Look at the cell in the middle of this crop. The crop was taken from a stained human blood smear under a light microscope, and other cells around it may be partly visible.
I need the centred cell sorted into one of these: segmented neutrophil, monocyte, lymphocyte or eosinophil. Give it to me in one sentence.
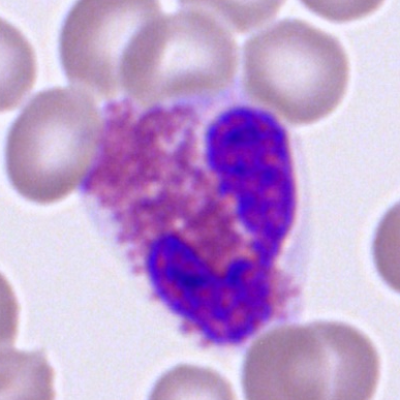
The cell at the centre of the field is an eosinophil.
